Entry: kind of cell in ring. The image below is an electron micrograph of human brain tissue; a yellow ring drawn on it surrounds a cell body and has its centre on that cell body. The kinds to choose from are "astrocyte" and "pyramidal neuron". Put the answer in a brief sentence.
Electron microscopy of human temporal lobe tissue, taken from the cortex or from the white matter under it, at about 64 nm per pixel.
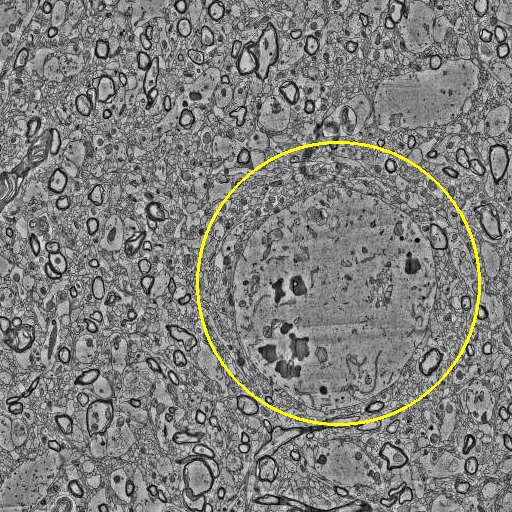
The ring has been drawn around a pyramidal neuron.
